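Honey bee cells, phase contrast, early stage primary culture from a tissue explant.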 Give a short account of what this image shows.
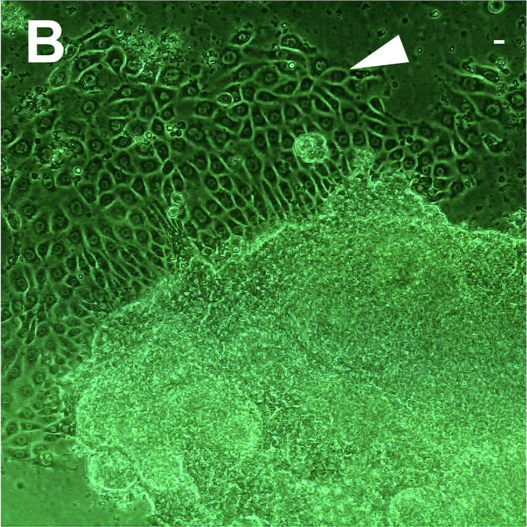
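The lower right is occupied by a dense, bright, multilayered tissue mass in which single cells are hard to separate. From its upper edge a flat sheet extends outward, made of polygonal cells packed closely side by side in a cobblestone pattern. Toward the far edge of the sheet the cells become more spread and less regular, and scattered small round bodies lie on the surface.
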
